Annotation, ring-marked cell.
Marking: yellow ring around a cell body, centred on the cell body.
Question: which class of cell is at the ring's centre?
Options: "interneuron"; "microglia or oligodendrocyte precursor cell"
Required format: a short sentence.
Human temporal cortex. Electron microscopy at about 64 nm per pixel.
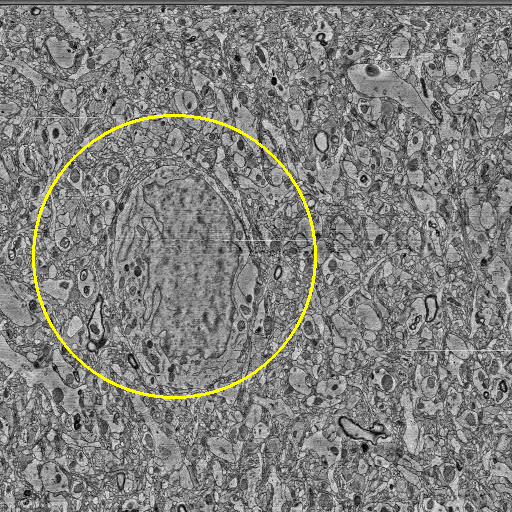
At the ring's centre is an interneuron.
